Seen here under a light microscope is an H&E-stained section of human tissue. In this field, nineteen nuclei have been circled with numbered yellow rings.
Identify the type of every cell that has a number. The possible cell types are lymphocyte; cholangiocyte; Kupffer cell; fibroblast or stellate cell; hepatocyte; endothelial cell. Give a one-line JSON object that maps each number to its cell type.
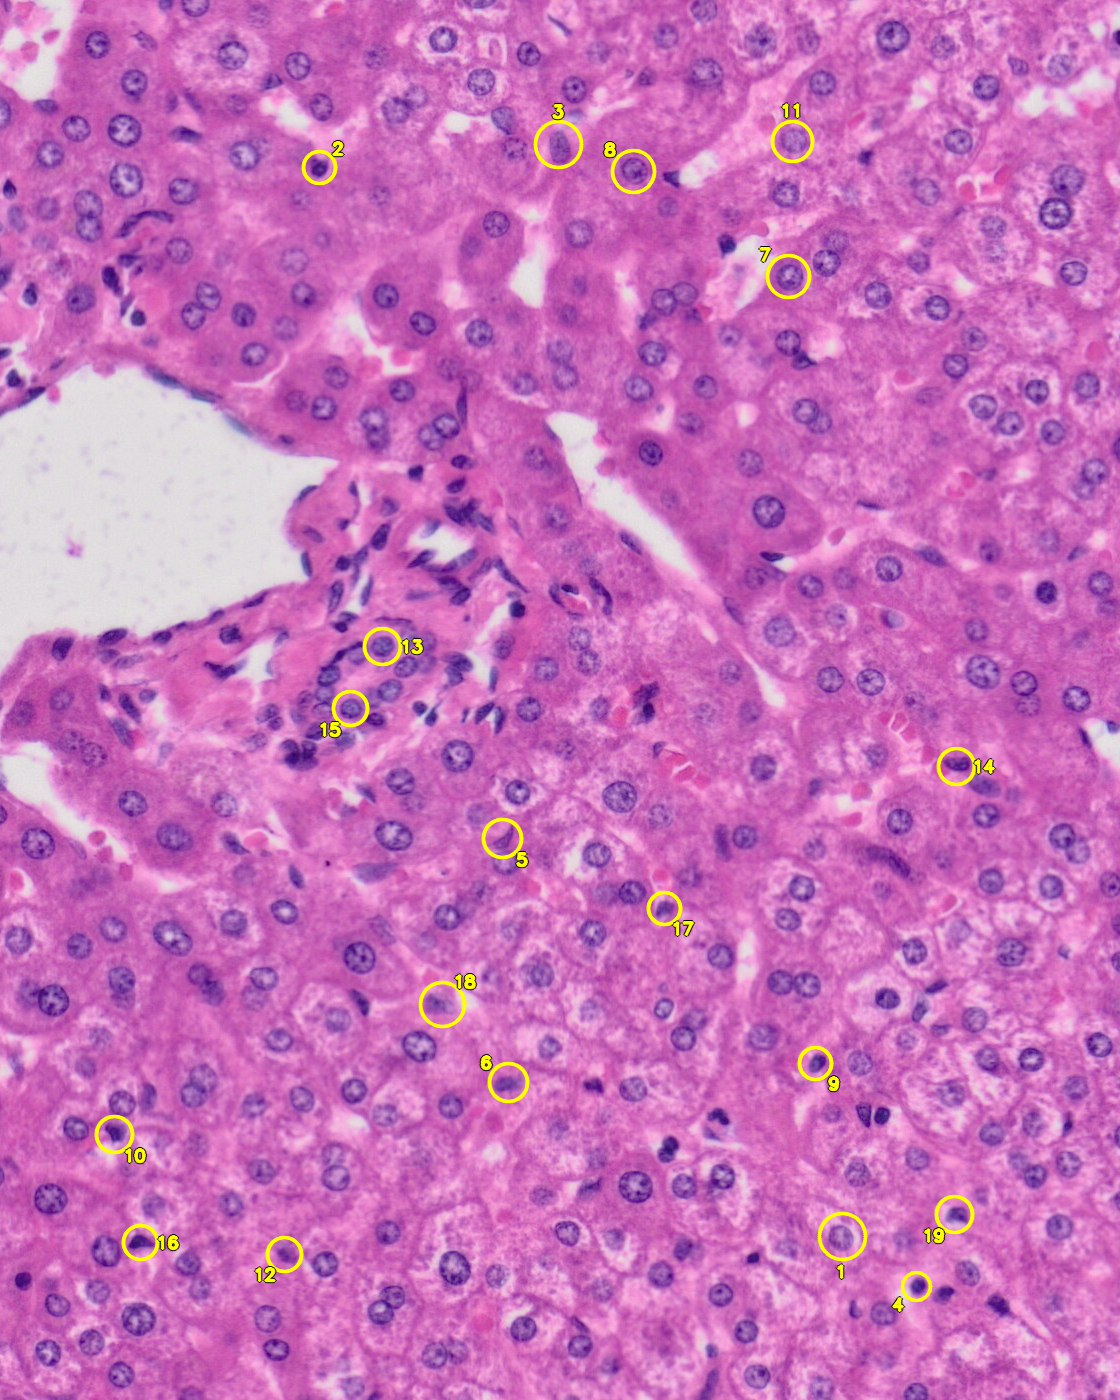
{"1": "hepatocyte", "2": "fibroblast or stellate cell", "3": "Kupffer cell", "4": "lymphocyte", "5": "fibroblast or stellate cell", "6": "fibroblast or stellate cell", "7": "hepatocyte", "8": "hepatocyte", "9": "lymphocyte", "10": "fibroblast or stellate cell", "11": "hepatocyte", "12": "endothelial cell", "13": "cholangiocyte", "14": "fibroblast or stellate cell", "15": "cholangiocyte", "16": "fibroblast or stellate cell", "17": "endothelial cell", "18": "Kupffer cell", "19": "endothelial cell"}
